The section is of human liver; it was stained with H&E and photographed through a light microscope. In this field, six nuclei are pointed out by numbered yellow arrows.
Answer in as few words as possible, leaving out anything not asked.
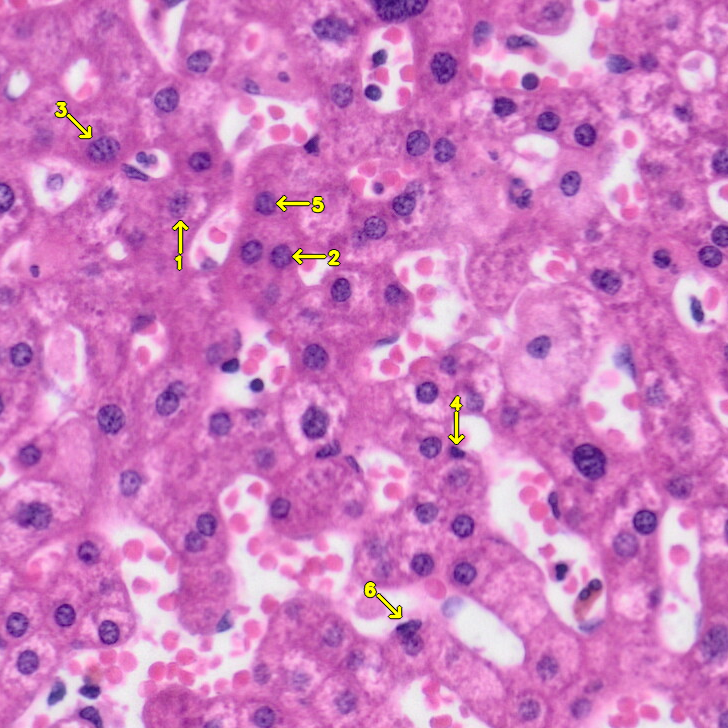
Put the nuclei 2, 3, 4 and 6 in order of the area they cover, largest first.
3, 2, 6, 4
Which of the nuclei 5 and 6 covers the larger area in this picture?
5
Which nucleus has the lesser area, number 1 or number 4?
4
